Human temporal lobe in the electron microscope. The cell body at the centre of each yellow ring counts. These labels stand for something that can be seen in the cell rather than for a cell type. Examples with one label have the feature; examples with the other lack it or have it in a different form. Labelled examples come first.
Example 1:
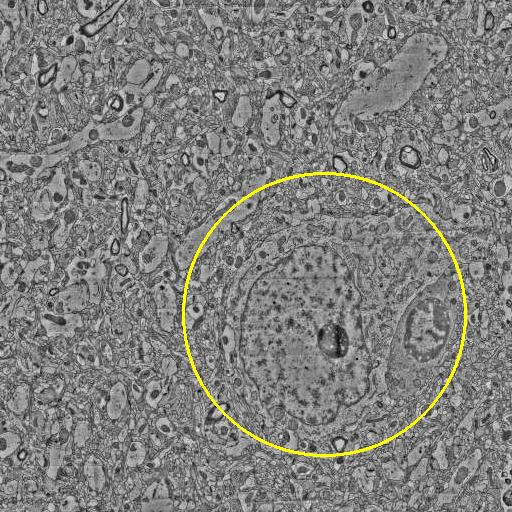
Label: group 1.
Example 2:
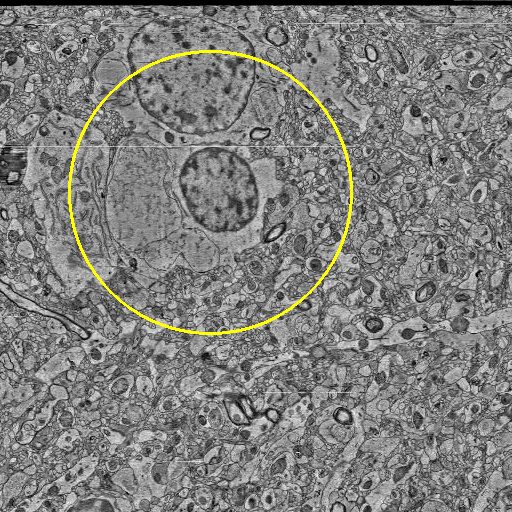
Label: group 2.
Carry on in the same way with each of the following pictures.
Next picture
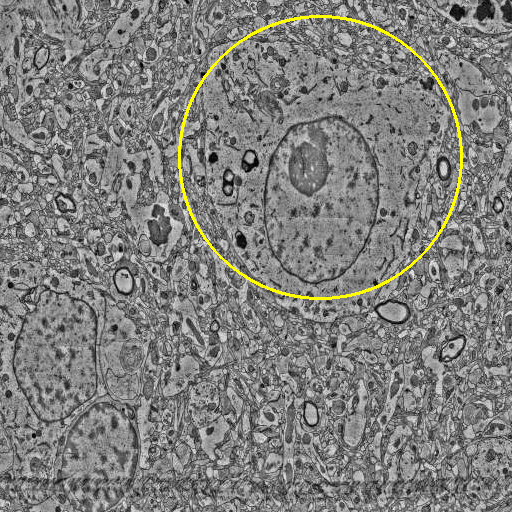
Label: group 1.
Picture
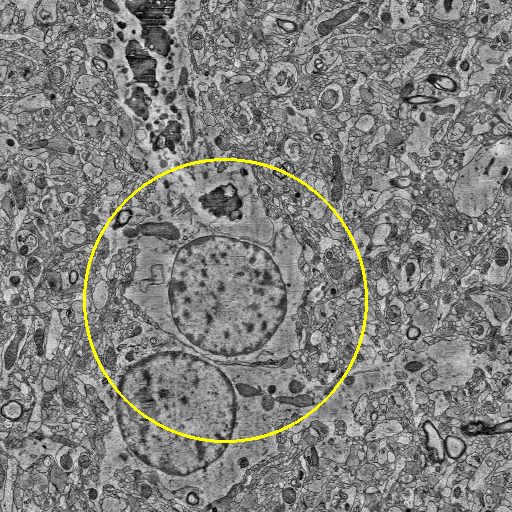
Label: group 2.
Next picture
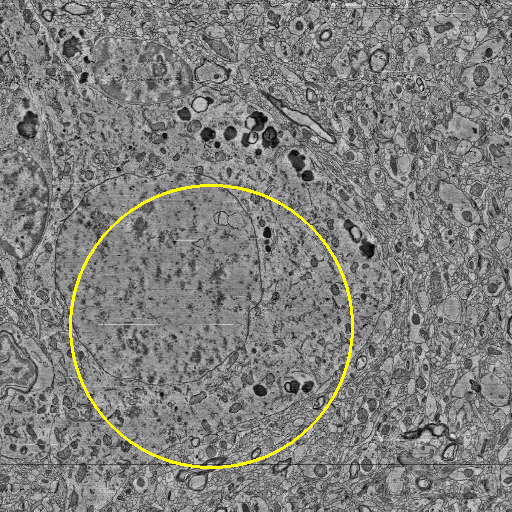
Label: group 2.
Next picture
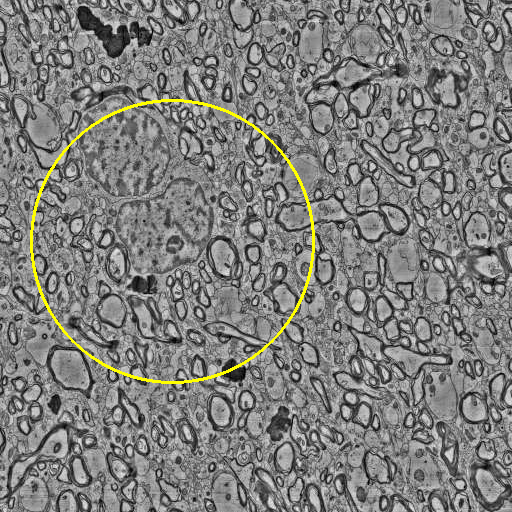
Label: group 1.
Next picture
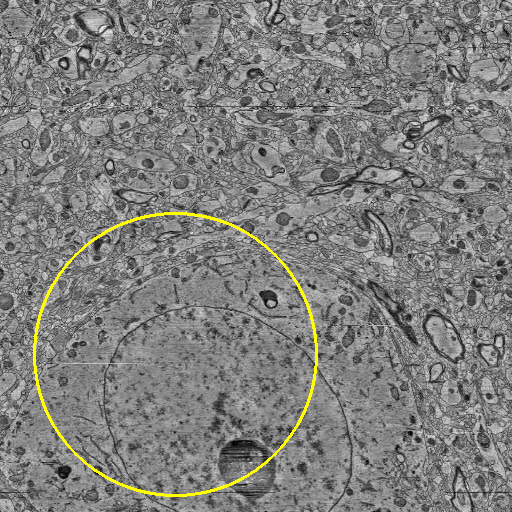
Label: group 1.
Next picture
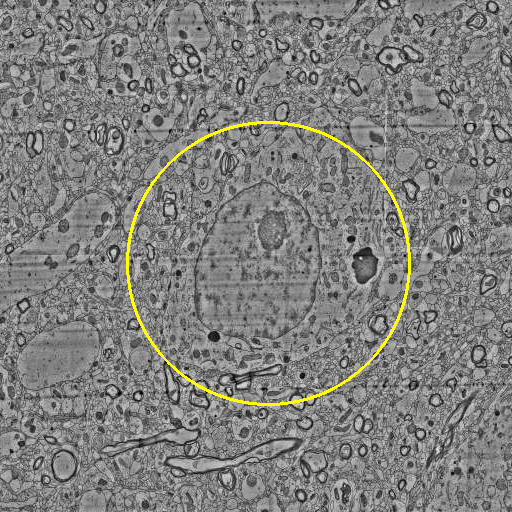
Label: group 1.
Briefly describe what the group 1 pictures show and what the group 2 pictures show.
group 1: nucleolus seen; group 2: no nucleolus seen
